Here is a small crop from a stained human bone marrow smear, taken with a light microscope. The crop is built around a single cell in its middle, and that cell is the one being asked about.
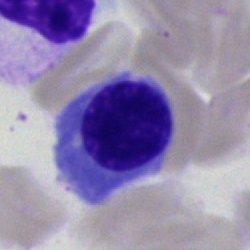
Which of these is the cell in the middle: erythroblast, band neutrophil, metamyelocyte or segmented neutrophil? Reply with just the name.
erythroblast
